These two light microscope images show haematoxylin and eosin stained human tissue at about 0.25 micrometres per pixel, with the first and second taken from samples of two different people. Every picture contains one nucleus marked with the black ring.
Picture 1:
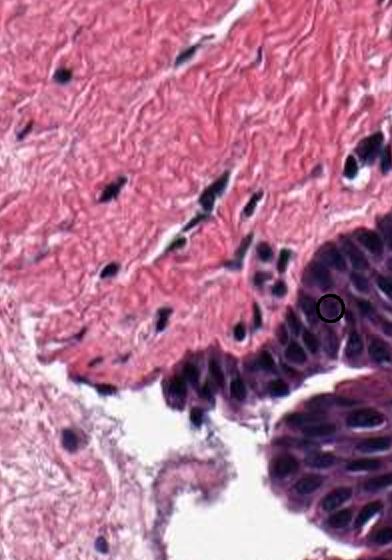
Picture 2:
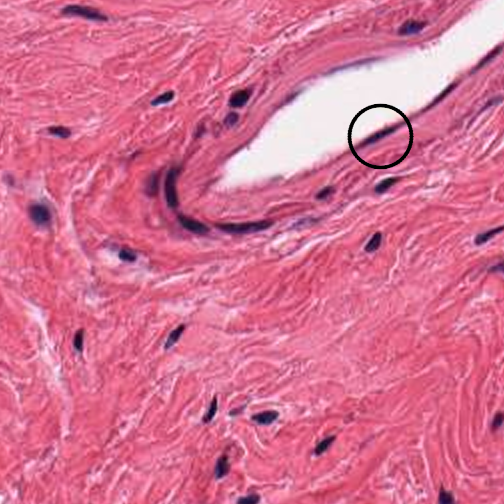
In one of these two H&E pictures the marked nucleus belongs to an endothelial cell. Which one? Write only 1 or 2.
2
